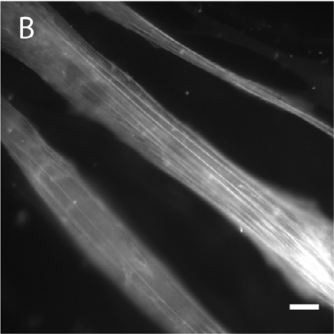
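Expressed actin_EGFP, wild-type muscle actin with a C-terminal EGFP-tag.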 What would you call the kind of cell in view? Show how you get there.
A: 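Long, broad, unbranched cells run diagonally across the whole field side by side. Each cell contains many fine longitudinal filament bundles running parallel to its long axis.
Conclusion: myotubes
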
